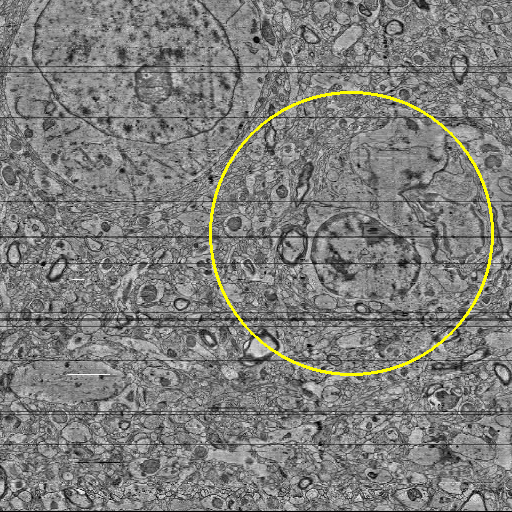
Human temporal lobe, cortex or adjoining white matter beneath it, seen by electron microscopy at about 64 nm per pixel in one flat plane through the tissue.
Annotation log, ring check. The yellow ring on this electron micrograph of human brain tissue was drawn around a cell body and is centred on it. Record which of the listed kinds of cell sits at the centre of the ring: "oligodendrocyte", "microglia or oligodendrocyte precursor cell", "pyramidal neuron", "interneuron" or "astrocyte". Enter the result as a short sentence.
The cell at the centre of the ring is a microglial cell or oligodendrocyte precursor cell.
